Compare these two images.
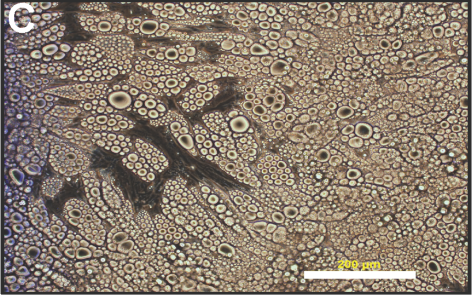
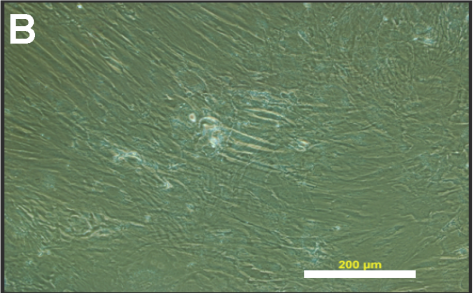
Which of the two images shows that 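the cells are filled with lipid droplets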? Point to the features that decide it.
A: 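The first image. Second image: elongated spindle-shaped cells in parallel streams, with no droplets. First image: the field is crowded with round refractile droplets filling the cells.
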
